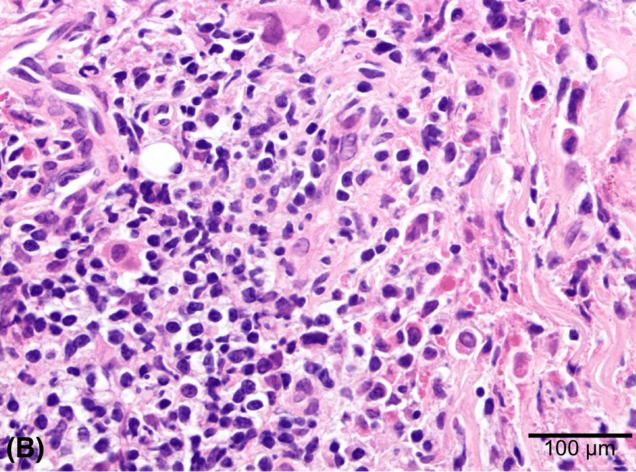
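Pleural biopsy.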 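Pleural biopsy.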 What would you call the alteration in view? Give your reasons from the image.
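Extramedullary haematopoiesis. Dense sheets of small round immature cells fill the tissue. Scattered very large cells with abundant pink cytoplasm lie among them. Pink collagen bundles and spindle cells run between the cellular infiltrate.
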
